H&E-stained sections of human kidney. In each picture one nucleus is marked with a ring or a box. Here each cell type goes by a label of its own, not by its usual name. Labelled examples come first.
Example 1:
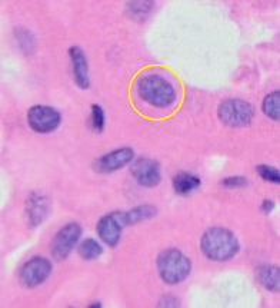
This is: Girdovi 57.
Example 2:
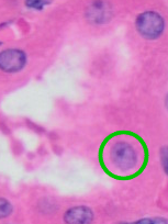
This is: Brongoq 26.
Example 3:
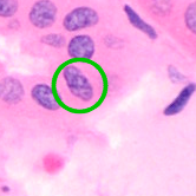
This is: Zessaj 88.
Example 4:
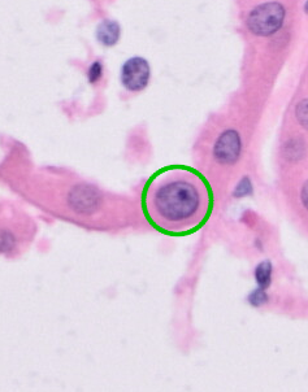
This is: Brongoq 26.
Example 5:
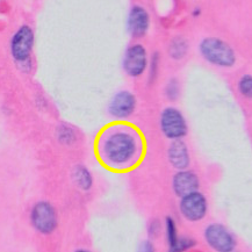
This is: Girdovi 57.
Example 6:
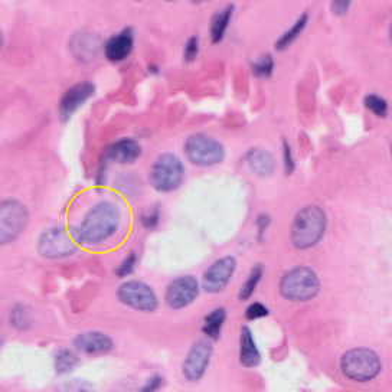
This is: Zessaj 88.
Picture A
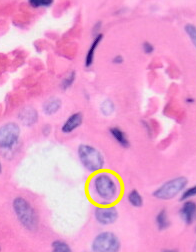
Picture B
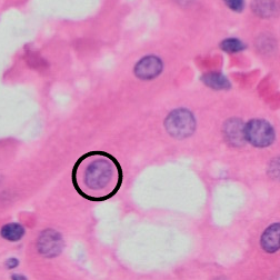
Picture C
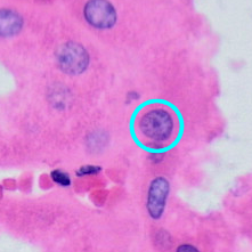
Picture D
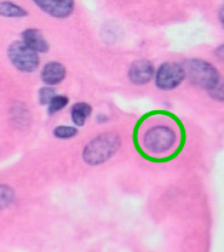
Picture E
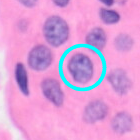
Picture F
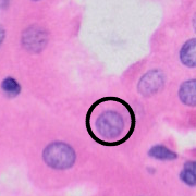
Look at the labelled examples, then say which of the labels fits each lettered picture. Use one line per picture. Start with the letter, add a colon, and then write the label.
A: Zessaj 88.
B: Brongoq 26.
C: Brongoq 26.
D: Brongoq 26.
E: Girdovi 57.
F: Brongoq 26.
